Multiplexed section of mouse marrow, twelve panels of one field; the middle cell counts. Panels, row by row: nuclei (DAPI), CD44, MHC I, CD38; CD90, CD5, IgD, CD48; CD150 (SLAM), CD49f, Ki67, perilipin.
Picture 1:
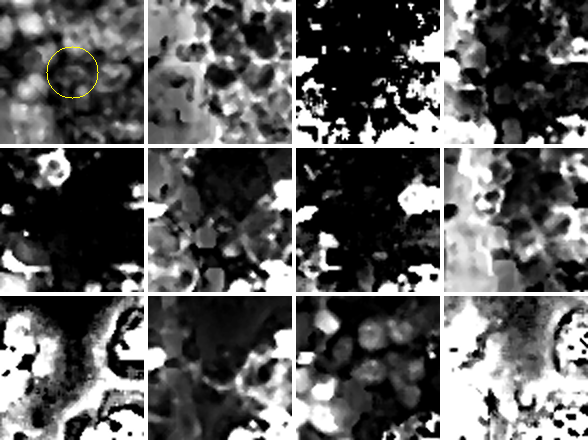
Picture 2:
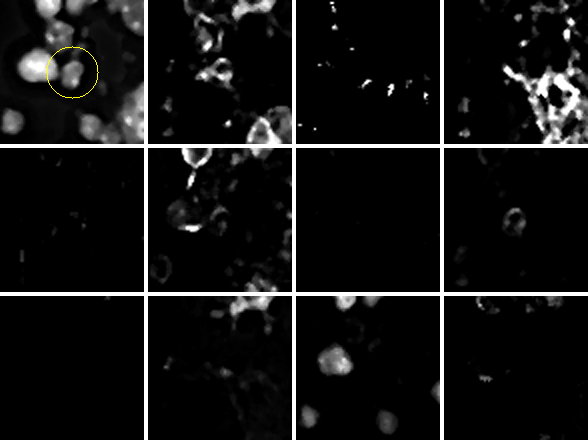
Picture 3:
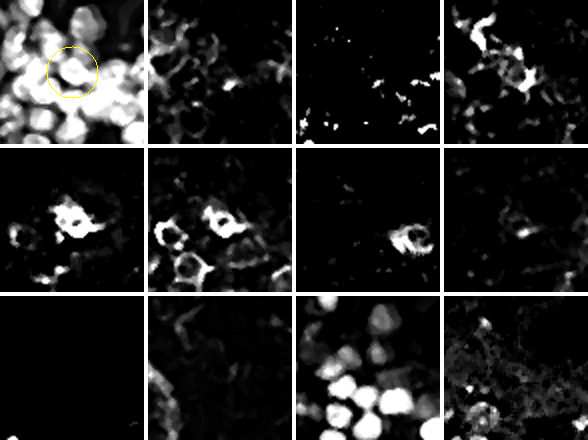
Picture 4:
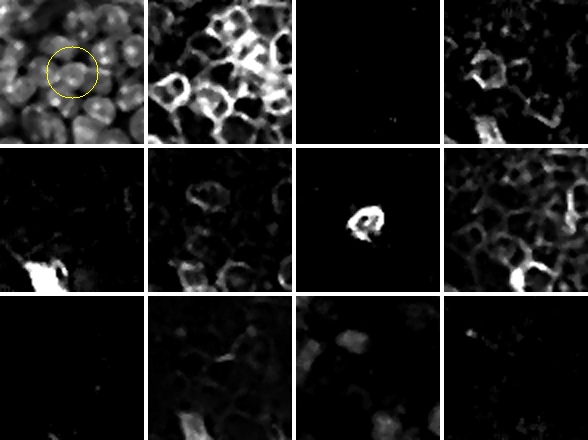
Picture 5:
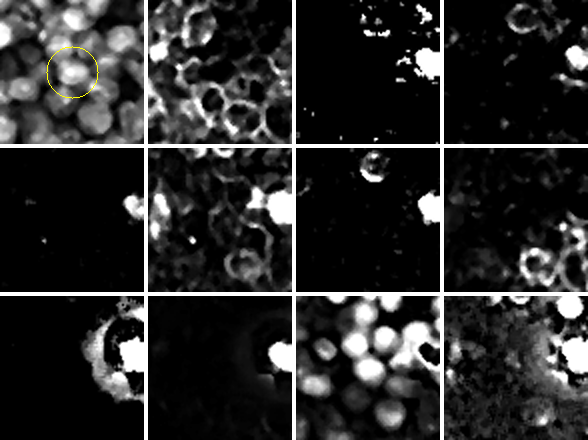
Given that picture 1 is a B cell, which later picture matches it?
4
